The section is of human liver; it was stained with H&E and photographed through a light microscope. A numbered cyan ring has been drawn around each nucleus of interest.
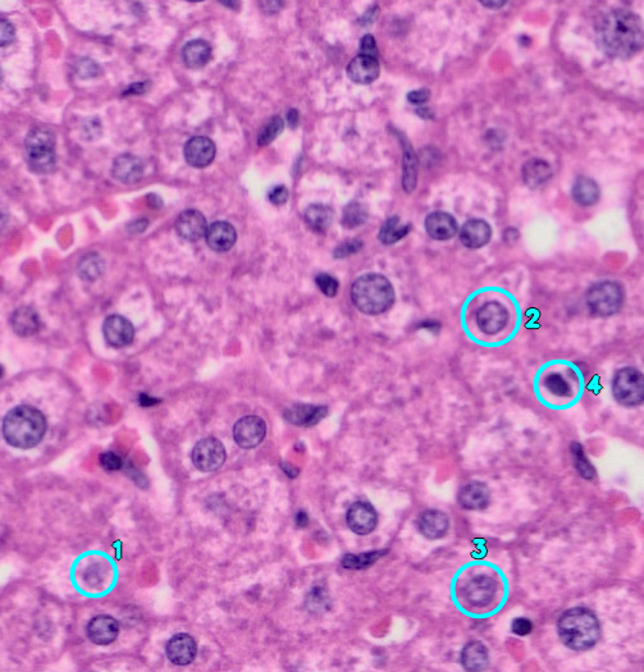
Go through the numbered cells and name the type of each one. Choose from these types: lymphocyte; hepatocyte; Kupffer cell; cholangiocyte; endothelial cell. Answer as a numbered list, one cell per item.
1. hepatocyte
2. hepatocyte
3. hepatocyte
4. lymphocyte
